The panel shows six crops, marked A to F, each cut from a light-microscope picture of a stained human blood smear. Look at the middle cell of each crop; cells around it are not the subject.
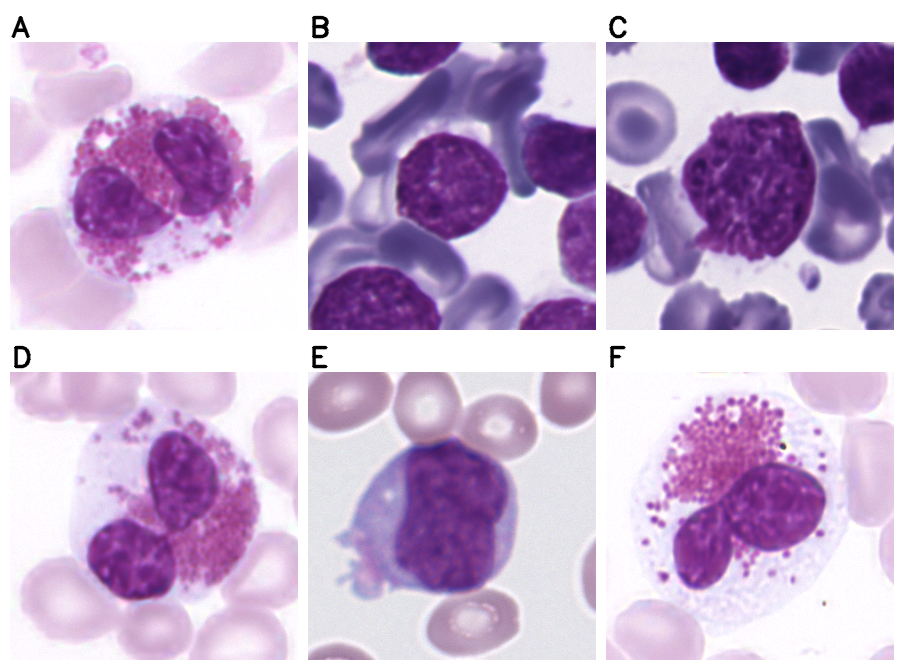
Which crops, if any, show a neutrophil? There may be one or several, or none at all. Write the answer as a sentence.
Missing from all of the crops is a neutrophil.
